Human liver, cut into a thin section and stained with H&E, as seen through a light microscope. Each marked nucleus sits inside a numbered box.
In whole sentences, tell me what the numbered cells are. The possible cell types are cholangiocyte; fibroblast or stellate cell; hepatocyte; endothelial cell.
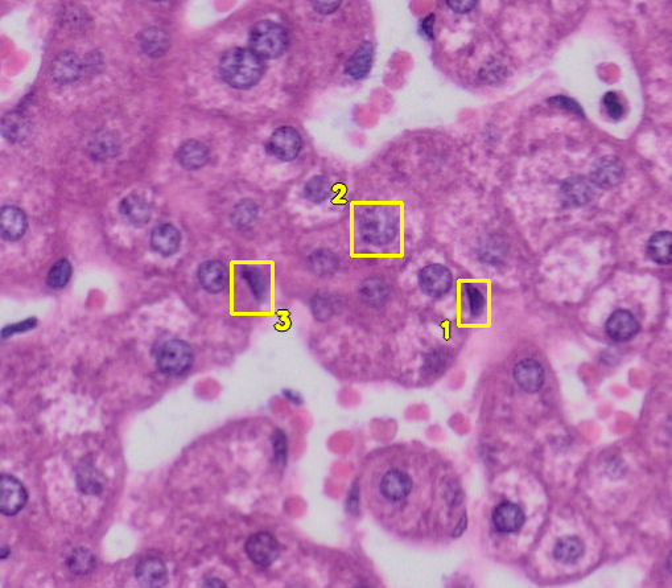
Cells 1 and 3 are fibroblasts or stellate cells. Cell 2 is a hepatocyte.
